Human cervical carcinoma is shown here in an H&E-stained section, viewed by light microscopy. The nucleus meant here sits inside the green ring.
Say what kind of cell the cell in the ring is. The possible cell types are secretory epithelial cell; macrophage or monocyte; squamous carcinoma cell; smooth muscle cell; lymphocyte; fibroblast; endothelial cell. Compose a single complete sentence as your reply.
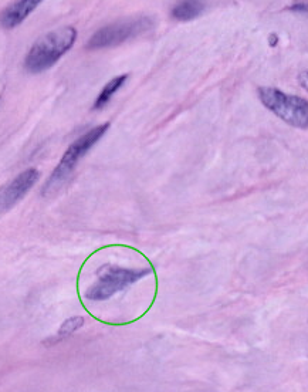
The identity of the cell in the ring: it is a fibroblast.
